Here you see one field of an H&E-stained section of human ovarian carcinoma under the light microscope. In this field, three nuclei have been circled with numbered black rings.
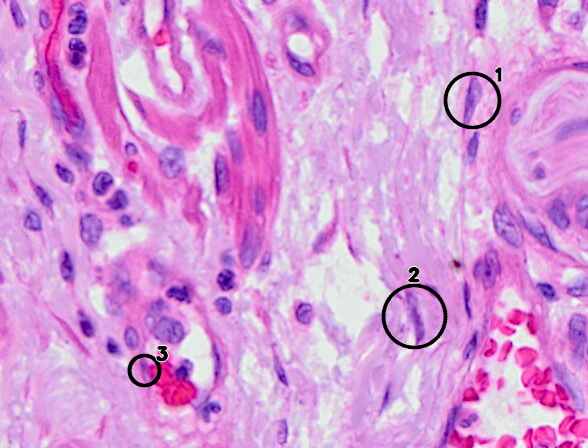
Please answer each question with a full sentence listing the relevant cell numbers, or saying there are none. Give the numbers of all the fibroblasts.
The cells numbered 1 and 2 are of the kind known as fibroblasts.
